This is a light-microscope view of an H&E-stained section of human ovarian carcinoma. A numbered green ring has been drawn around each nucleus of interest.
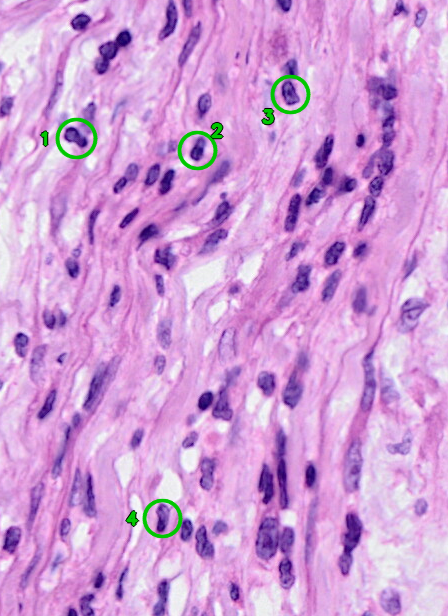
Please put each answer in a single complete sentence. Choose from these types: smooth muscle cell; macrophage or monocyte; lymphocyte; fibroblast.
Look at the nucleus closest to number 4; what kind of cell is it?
The cell nearest to number 4 is a lymphocyte.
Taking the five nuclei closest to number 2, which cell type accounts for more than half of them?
The majority of the five nuclei closest to number 2 belong to macrophages or monocytes.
